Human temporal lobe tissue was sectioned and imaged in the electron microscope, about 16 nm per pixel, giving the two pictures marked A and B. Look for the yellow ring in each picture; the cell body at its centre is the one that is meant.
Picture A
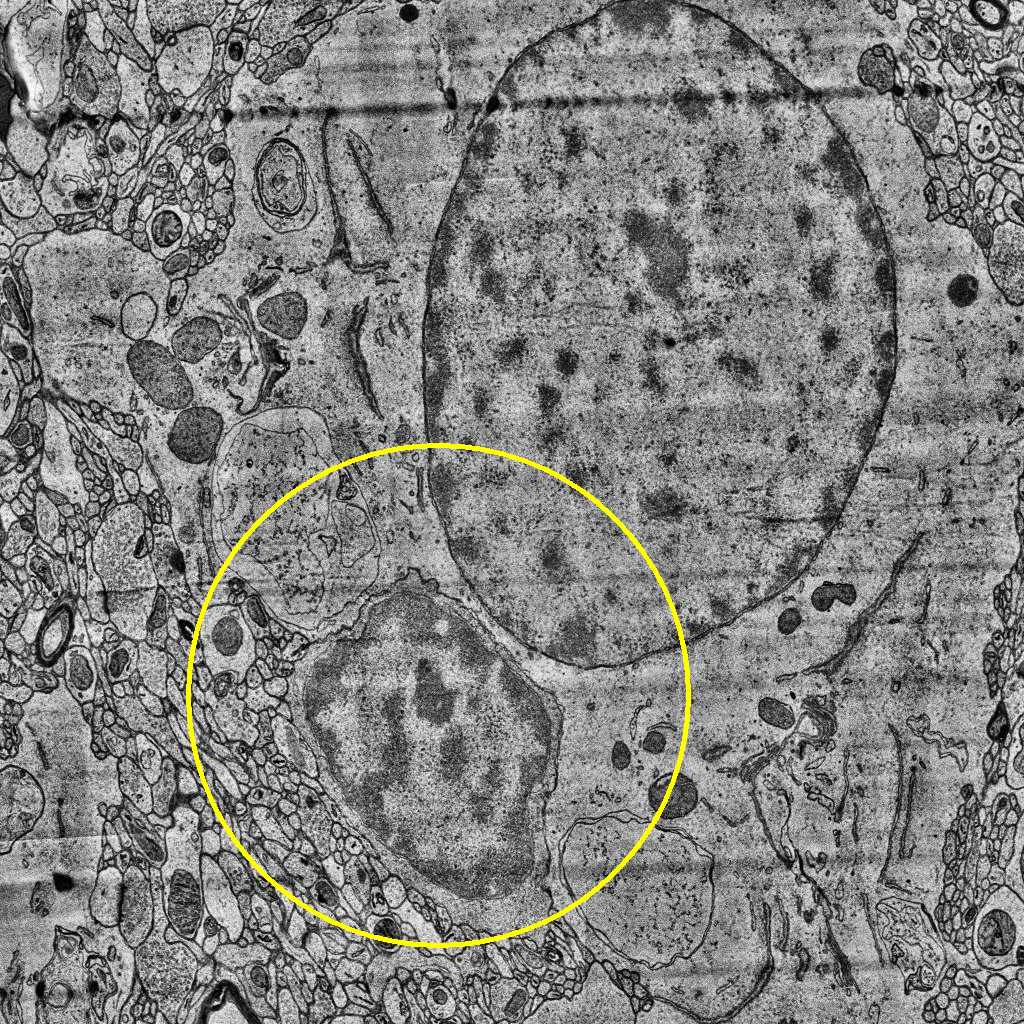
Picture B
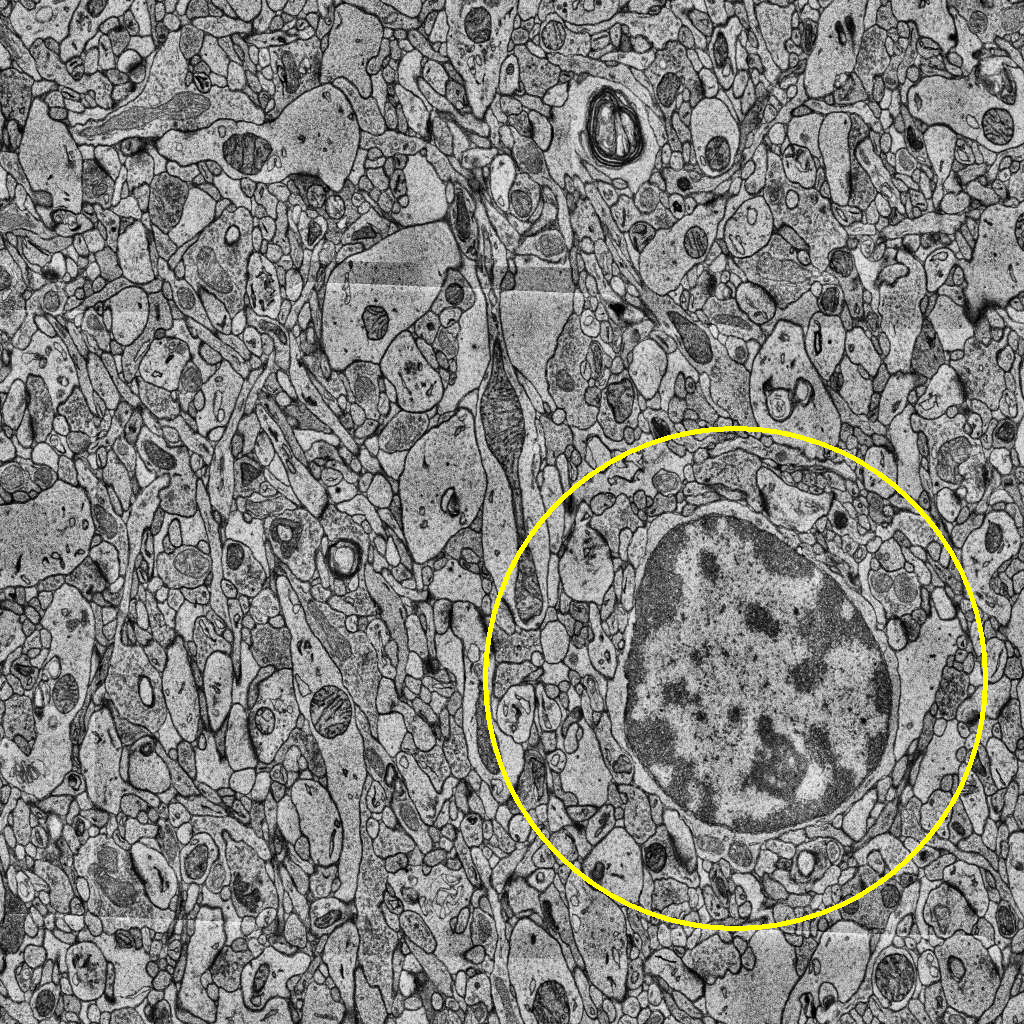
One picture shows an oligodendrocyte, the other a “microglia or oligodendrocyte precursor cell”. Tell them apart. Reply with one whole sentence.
The cell in picture A is an oligodendrocyte, and the one in picture B is a “microglia or oligodendrocyte precursor cell”.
